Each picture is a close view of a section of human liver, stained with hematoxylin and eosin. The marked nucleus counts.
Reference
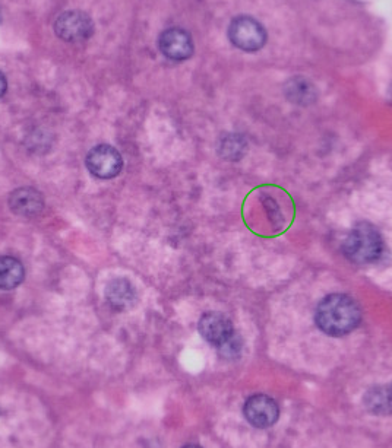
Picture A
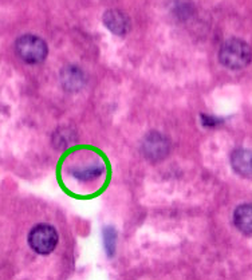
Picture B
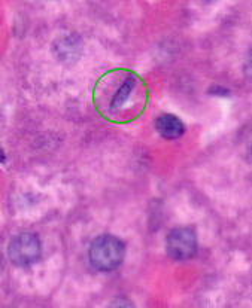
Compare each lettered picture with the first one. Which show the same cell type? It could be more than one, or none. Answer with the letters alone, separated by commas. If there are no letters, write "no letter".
A, B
